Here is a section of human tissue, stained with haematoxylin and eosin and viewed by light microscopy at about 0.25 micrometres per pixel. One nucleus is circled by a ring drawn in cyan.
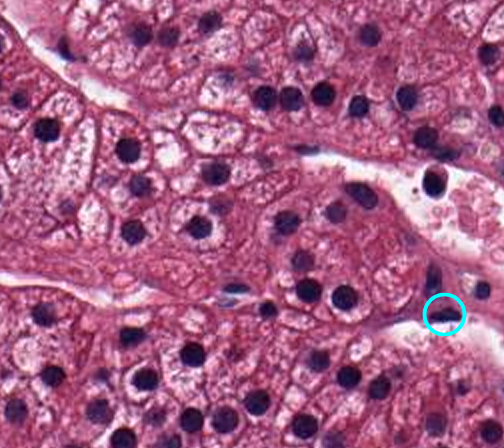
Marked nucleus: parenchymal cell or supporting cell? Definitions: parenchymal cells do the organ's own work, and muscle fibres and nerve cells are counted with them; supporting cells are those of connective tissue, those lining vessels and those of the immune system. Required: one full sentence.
A supporting cell is the owner of the marked nucleus.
